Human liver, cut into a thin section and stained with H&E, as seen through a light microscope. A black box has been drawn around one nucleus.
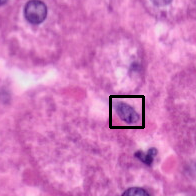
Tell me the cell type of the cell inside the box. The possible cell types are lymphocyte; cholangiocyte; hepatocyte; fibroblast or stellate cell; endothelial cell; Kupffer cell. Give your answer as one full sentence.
As a matter of cell type, the cell inside the box is a Kupffer cell.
